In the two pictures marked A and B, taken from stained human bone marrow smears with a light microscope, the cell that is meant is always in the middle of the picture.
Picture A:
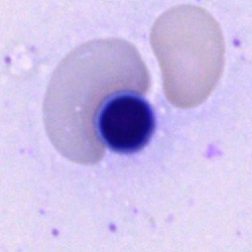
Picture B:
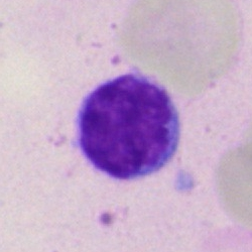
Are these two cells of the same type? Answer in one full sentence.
No. Picture A shows an erythroblast, but picture B shows a lymphocyte.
